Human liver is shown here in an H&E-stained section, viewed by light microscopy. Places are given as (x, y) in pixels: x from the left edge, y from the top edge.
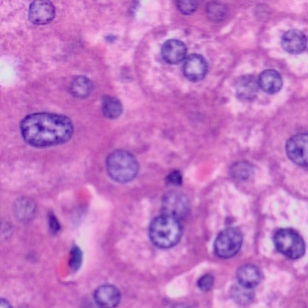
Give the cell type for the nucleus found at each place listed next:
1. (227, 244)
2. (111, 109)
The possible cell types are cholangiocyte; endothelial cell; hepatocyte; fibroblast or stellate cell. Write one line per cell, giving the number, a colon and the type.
1: hepatocyte
2: endothelial cell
